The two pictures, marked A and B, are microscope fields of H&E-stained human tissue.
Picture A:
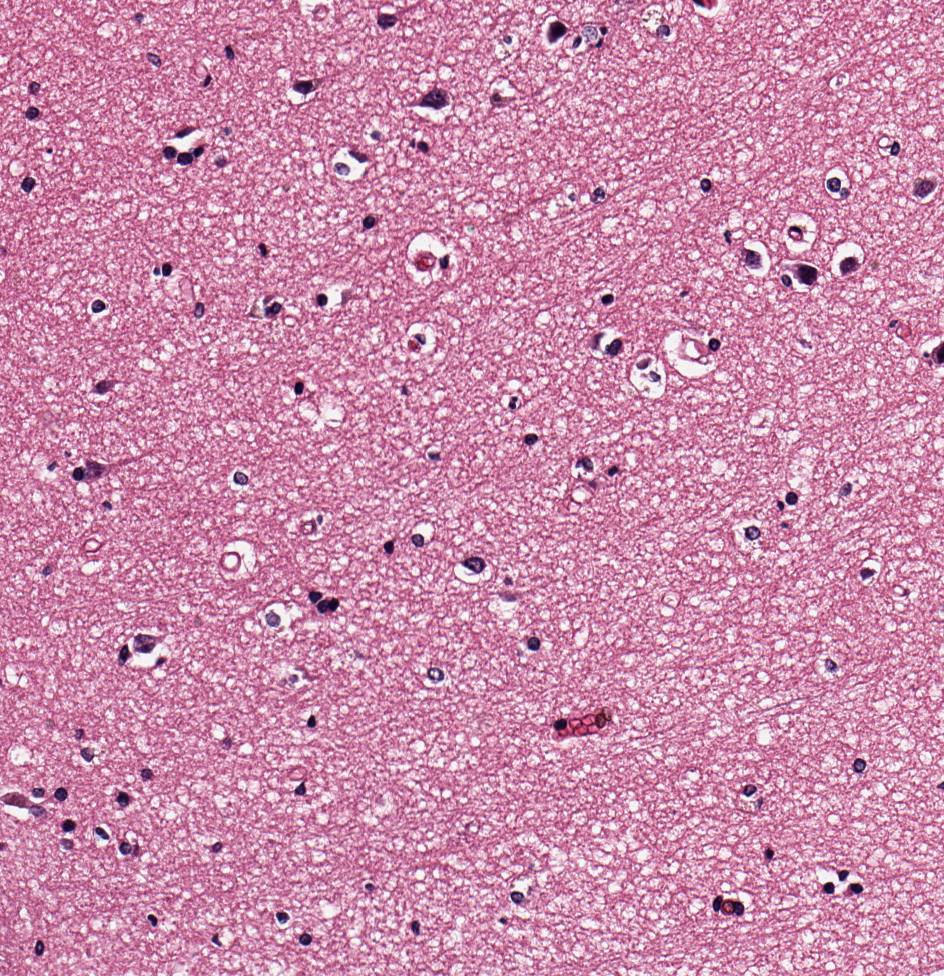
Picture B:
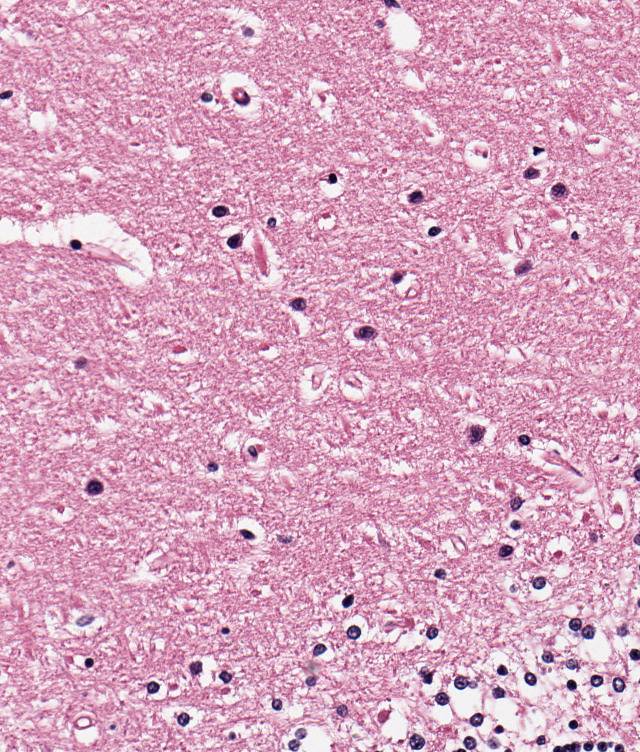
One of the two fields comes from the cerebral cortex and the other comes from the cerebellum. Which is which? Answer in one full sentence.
Picture A comes from the cerebral cortex; picture B comes from the cerebellum.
